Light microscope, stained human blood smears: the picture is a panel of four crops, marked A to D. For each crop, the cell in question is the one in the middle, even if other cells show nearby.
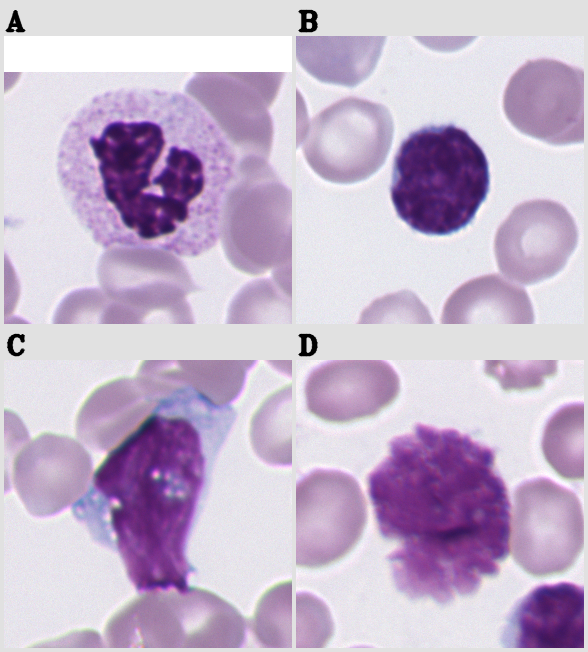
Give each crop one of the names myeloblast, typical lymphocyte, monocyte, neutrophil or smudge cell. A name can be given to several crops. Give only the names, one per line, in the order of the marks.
neutrophil
typical lymphocyte
typical lymphocyte
smudge cell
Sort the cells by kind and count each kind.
typical lymphocyte: 2
neutrophil: 1
smudge cell: 1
